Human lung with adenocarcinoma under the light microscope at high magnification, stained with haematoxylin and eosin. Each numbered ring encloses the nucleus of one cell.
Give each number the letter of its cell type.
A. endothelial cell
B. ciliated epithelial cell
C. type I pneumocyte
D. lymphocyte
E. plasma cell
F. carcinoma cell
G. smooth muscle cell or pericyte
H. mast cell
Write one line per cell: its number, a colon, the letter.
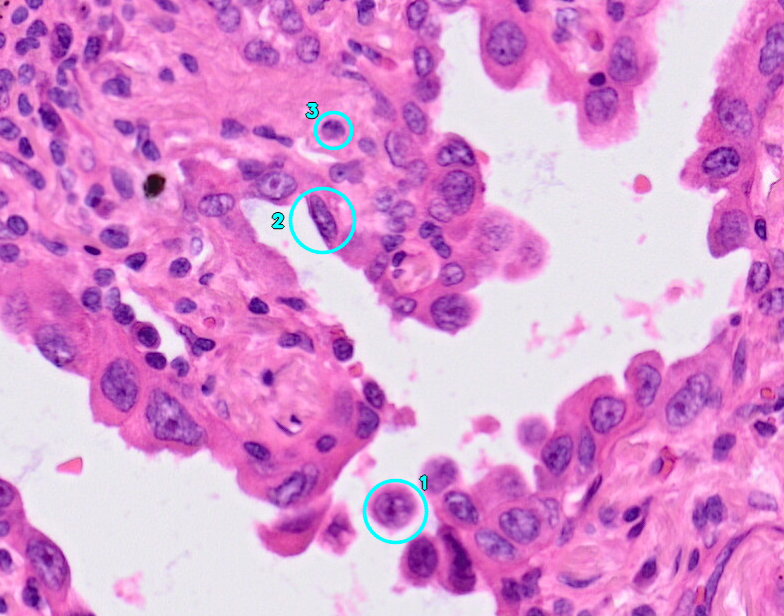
1: F
2: F
3: D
